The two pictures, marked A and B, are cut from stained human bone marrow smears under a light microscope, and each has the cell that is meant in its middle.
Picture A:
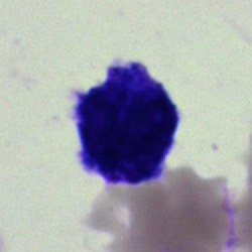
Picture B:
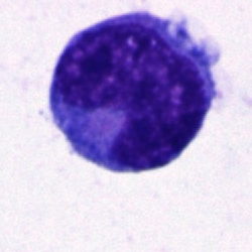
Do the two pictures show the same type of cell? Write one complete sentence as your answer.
Yes, they are the same type: both are blasts.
